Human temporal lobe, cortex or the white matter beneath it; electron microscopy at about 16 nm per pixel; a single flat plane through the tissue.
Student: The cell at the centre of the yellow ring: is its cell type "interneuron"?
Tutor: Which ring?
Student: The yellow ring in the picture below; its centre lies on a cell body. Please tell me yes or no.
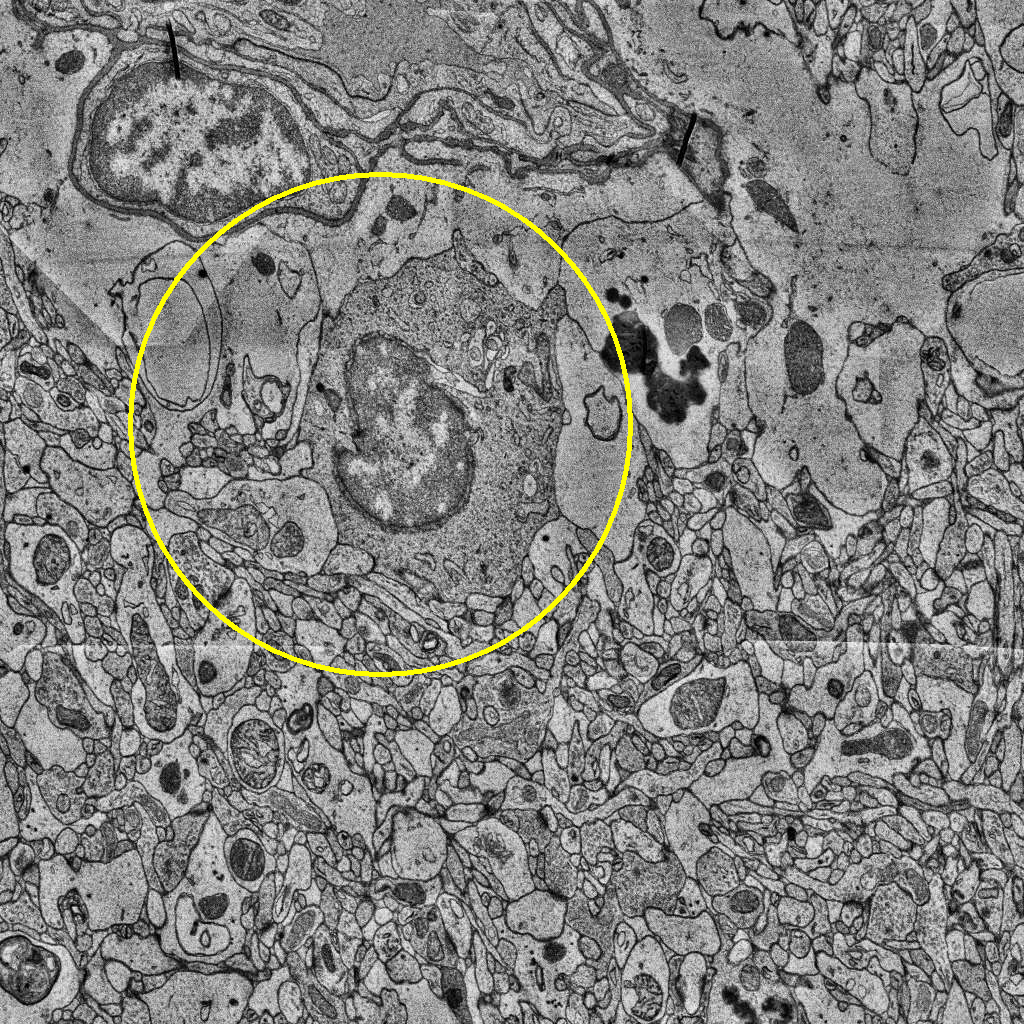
no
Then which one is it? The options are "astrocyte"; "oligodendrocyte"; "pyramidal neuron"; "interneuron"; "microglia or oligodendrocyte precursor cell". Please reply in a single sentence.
Instead, what sits at the centre of the ring is an oligodendrocyte.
